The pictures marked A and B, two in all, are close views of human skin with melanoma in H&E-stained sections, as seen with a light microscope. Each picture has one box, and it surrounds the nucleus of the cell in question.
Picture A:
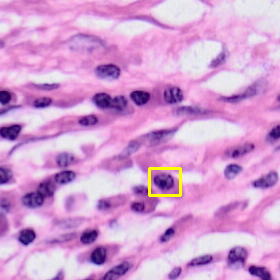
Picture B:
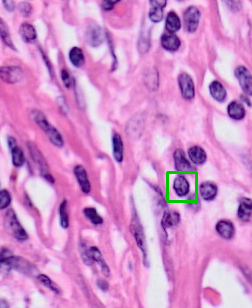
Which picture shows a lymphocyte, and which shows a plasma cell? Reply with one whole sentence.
Picture A shows a plasma cell and picture B shows a lymphocyte.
